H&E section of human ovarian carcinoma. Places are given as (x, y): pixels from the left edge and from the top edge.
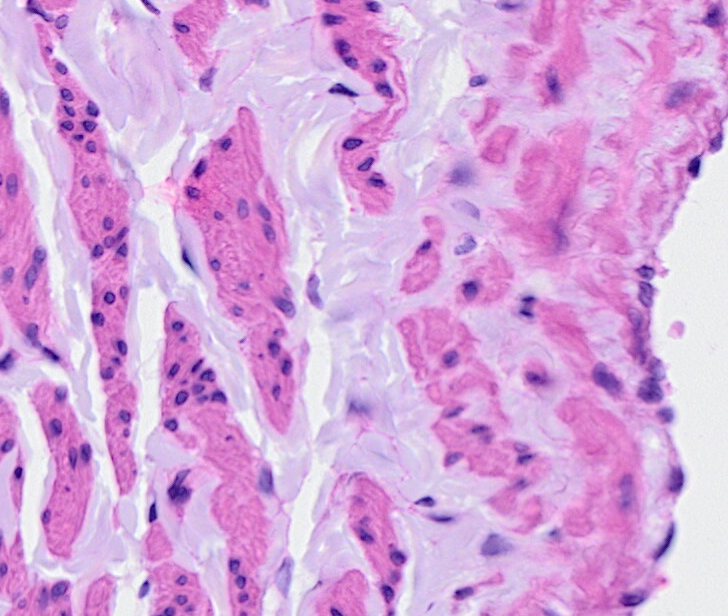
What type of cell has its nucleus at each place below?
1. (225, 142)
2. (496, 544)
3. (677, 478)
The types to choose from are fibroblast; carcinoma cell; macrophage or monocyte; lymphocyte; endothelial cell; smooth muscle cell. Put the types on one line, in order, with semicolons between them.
smooth muscle cell; fibroblast; endothelial cell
